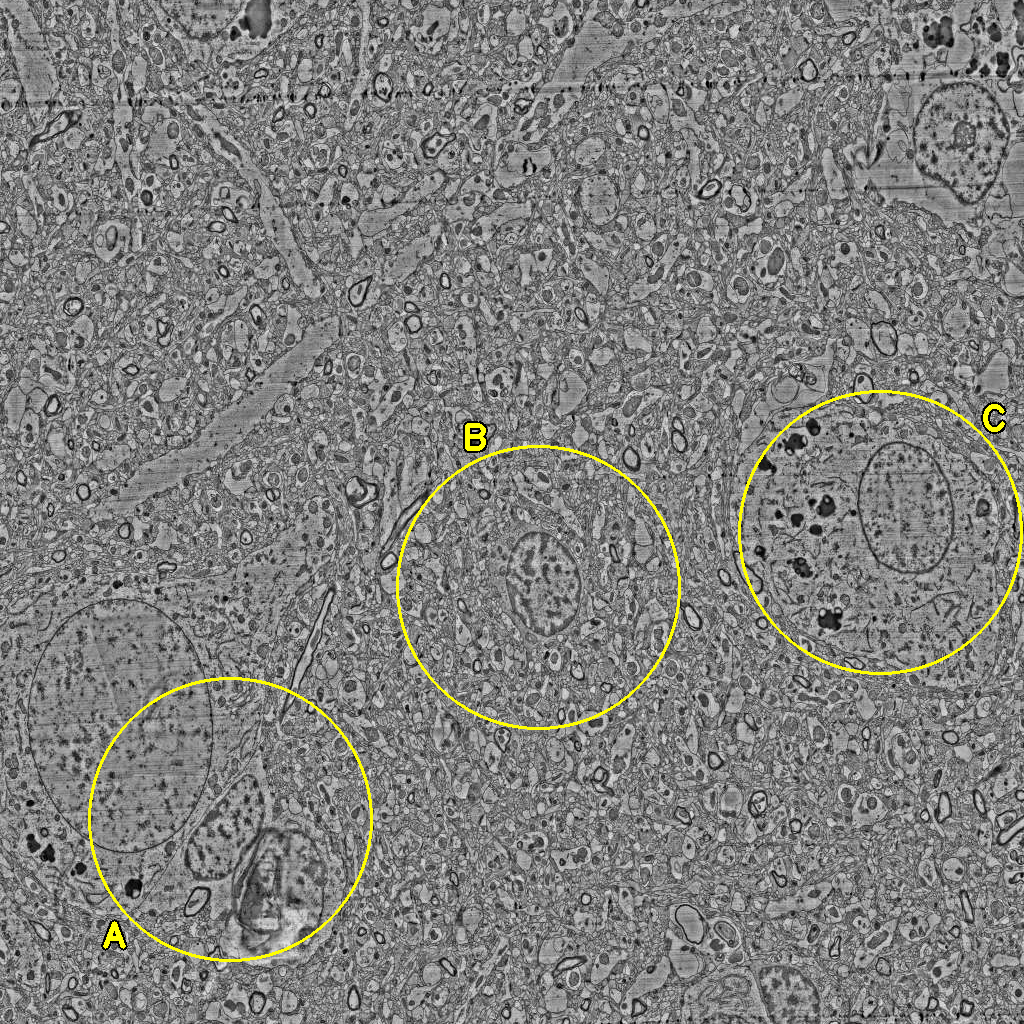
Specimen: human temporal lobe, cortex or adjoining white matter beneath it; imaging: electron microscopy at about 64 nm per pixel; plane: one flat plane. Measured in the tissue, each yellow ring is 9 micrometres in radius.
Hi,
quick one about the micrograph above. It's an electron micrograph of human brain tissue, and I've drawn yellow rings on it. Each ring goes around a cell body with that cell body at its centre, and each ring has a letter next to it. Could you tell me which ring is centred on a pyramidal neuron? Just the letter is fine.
C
